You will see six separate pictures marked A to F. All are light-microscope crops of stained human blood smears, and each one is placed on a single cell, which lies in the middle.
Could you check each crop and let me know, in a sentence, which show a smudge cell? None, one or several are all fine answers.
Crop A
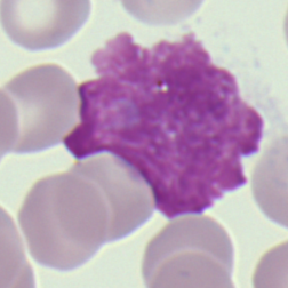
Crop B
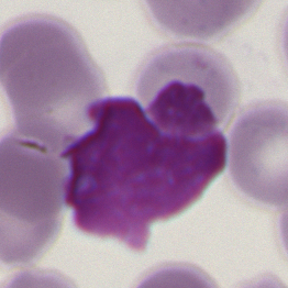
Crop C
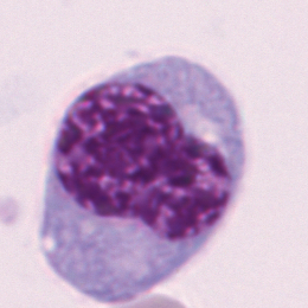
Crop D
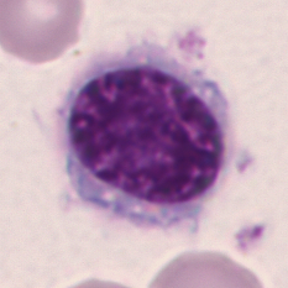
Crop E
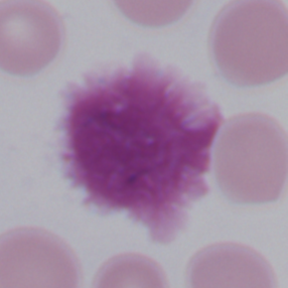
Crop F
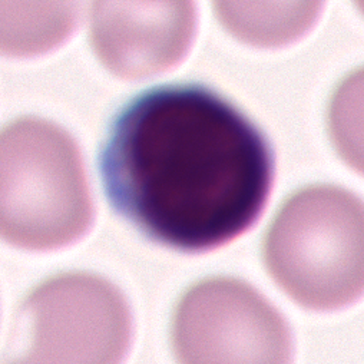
So, to put it simply, crops A, B and E show smudge cells.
